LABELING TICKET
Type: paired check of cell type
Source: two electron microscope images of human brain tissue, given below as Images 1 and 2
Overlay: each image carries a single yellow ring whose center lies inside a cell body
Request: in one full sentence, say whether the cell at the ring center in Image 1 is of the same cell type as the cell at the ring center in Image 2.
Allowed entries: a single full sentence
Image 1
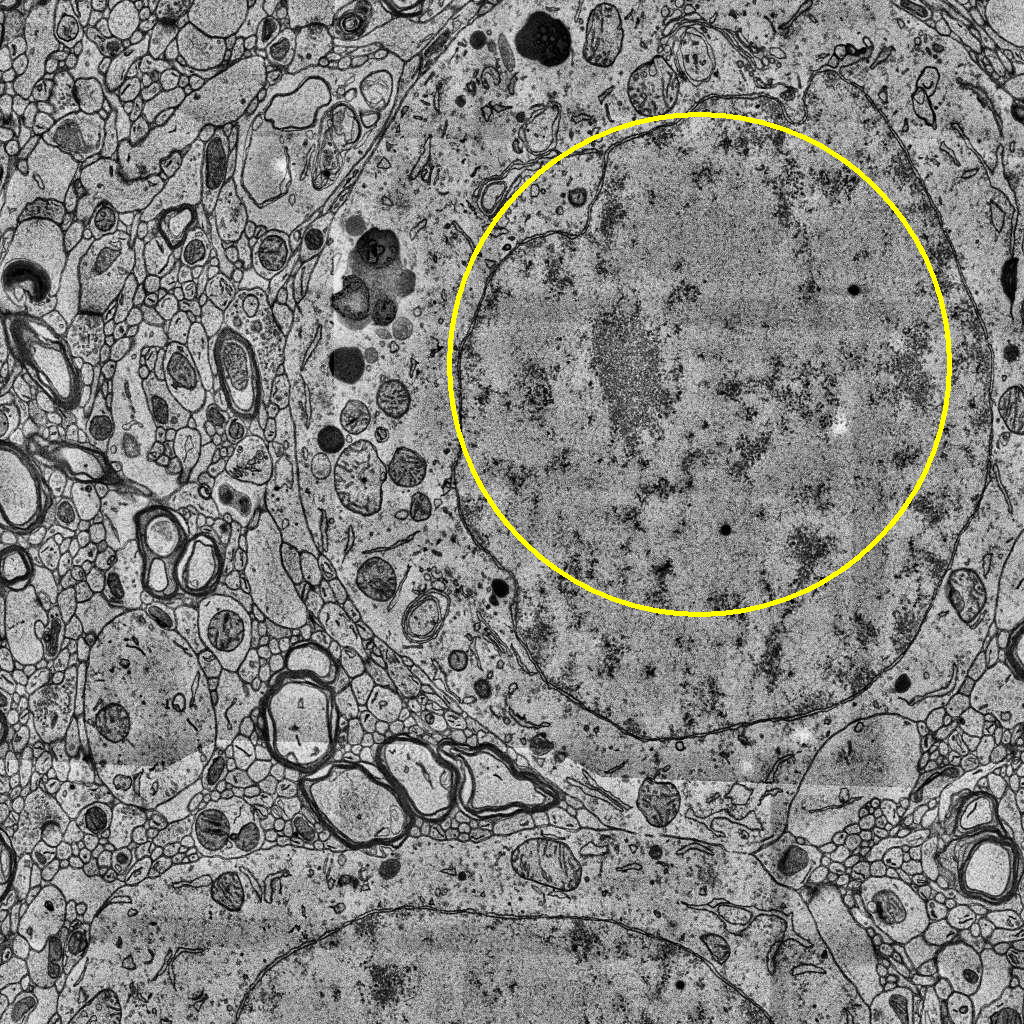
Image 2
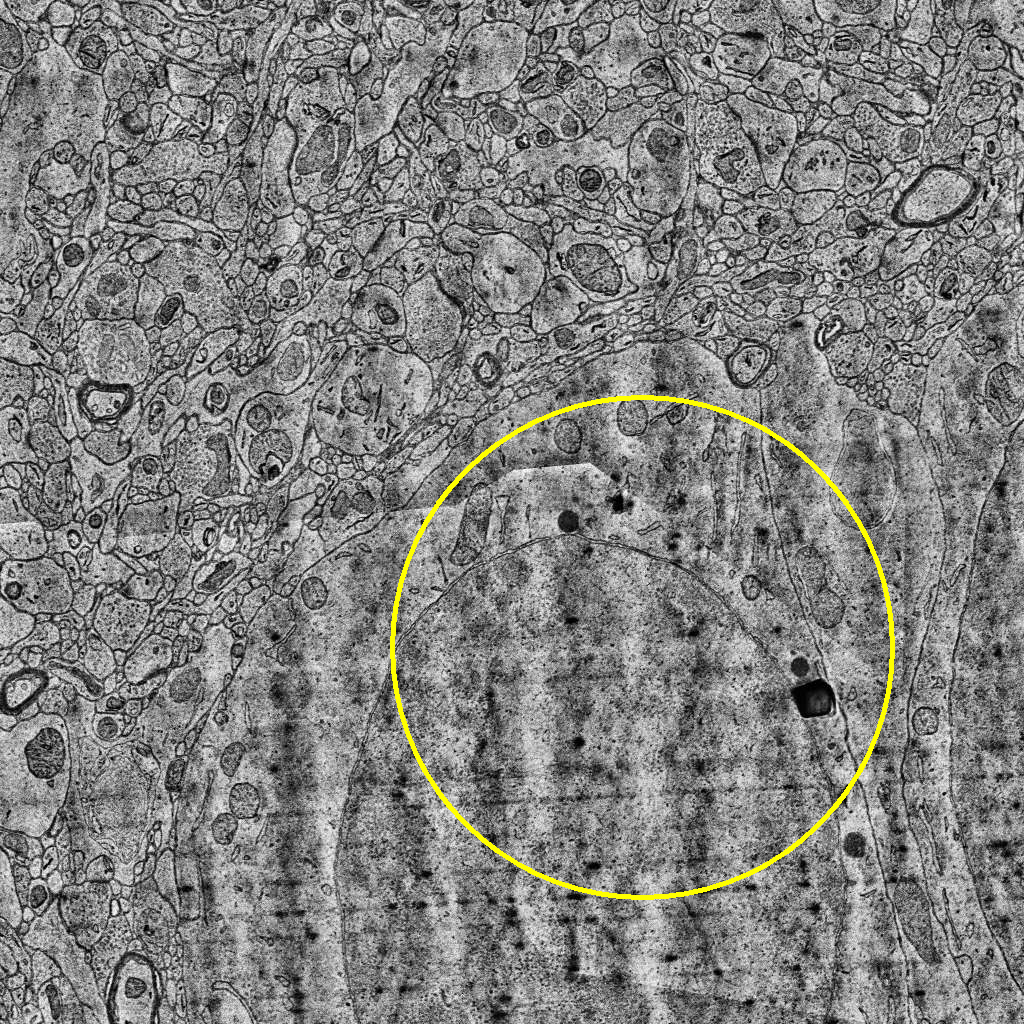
Yes, the cells at the ring centers of Image 1 and Image 2 share one type.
